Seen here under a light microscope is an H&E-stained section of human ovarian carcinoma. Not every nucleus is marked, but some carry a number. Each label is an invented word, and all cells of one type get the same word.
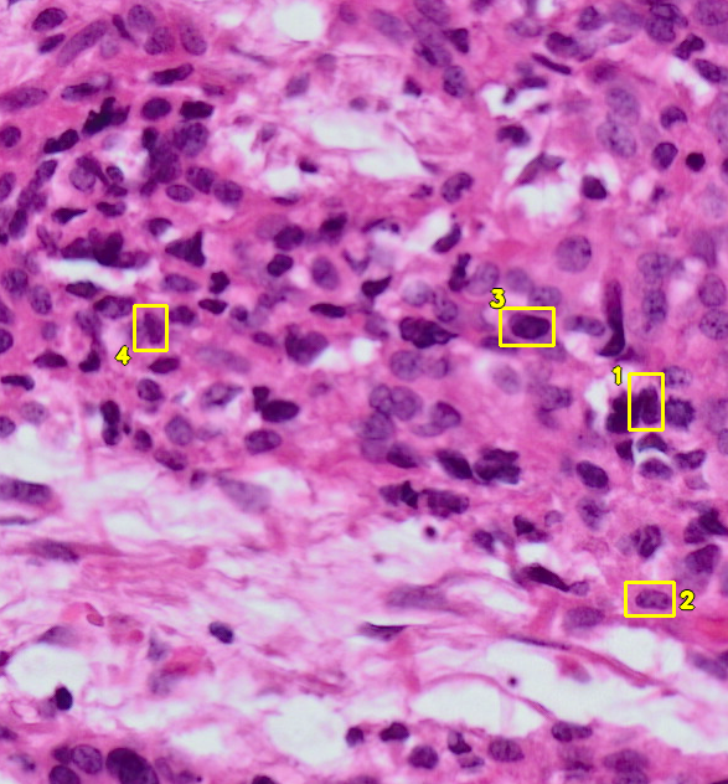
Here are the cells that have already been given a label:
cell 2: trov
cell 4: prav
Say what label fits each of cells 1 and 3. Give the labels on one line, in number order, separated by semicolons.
prav; prav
